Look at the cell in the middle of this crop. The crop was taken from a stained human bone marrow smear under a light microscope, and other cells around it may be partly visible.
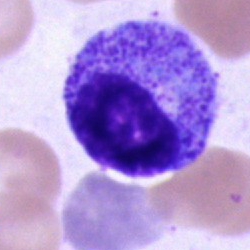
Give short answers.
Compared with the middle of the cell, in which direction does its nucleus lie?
lower left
